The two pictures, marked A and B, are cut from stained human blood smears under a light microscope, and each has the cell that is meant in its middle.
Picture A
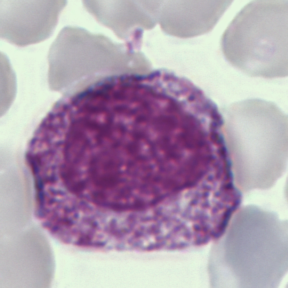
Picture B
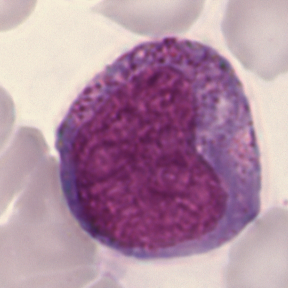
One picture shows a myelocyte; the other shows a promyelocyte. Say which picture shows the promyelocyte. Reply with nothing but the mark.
B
